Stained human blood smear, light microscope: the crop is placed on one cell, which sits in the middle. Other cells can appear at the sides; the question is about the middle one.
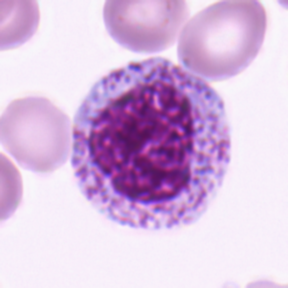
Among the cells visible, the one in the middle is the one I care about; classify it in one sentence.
Regarding the central cell, it is a myelocyte.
